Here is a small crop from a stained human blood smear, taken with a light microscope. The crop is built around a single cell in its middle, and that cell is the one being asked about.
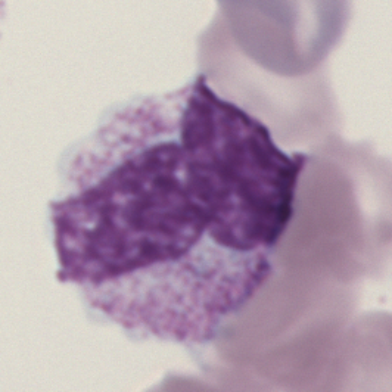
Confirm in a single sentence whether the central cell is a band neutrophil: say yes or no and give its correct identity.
Yes, the crop is centred on a band neutrophil.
